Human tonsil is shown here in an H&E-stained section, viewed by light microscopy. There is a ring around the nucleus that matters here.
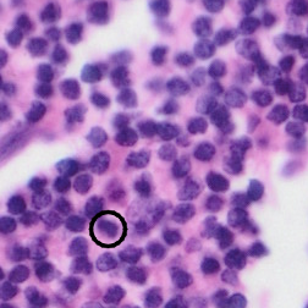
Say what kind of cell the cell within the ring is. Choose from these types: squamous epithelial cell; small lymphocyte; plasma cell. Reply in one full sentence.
At the level of cell identity, the cell within the ring is a small lymphocyte.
